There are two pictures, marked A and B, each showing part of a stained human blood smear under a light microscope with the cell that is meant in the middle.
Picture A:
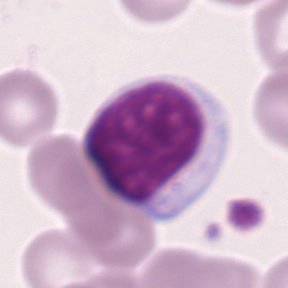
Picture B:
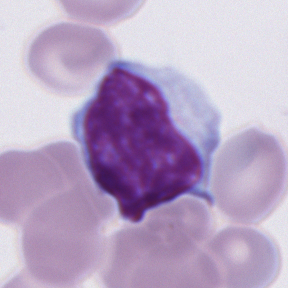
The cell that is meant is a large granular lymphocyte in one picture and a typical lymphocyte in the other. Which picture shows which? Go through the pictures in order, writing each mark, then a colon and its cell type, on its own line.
A: large granular lymphocyte
B: typical lymphocyte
